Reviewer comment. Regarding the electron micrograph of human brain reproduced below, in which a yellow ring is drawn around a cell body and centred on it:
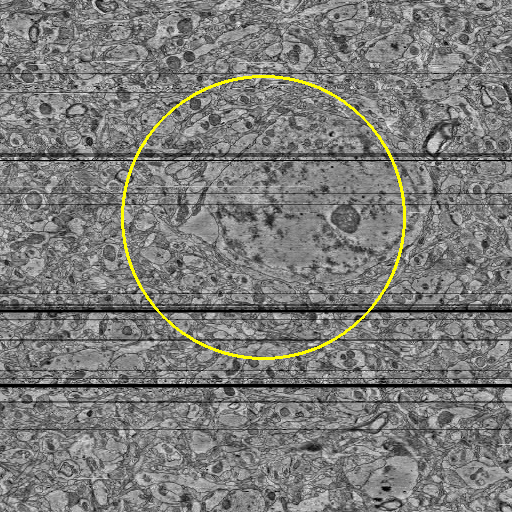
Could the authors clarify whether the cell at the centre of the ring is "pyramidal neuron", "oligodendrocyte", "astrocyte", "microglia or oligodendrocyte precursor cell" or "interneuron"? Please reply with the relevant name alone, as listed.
interneuron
